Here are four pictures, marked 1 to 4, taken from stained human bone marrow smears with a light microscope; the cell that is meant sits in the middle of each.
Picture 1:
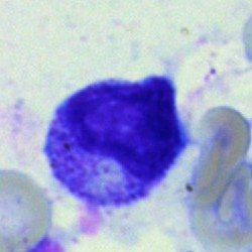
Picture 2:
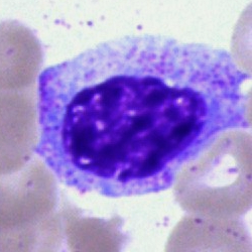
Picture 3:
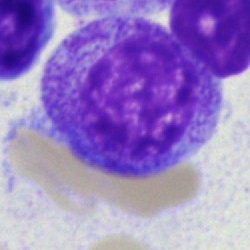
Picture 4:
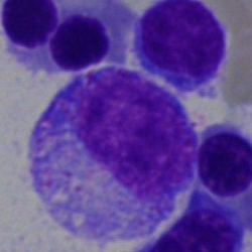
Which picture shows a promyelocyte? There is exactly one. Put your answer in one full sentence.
It is picture 4 that shows the promyelocyte.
